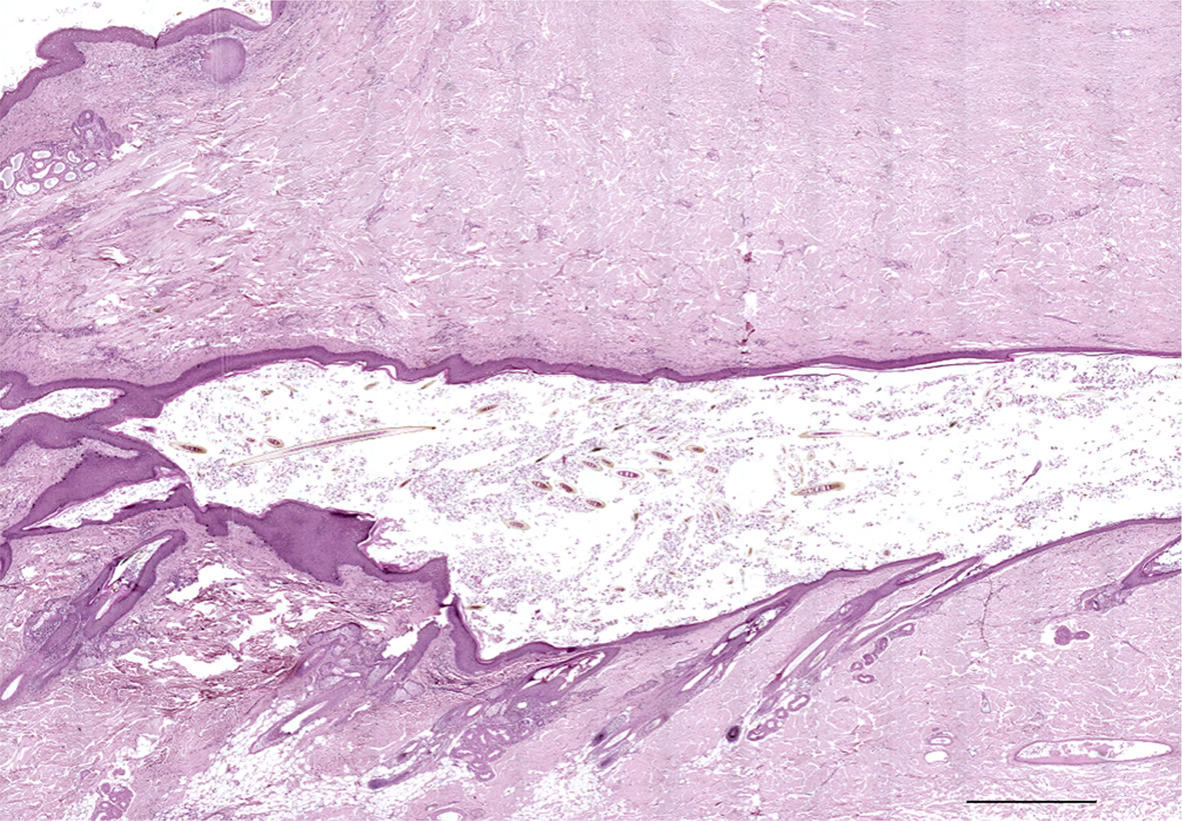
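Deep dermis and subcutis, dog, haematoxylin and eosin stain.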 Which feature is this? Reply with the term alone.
hair shafts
